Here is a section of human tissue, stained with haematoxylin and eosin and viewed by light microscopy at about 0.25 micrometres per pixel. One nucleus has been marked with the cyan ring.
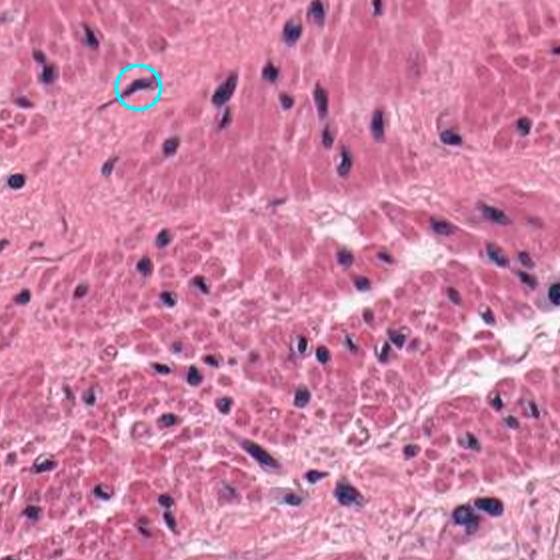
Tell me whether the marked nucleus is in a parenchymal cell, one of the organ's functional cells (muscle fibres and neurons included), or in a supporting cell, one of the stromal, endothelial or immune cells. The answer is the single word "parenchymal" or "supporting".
supporting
